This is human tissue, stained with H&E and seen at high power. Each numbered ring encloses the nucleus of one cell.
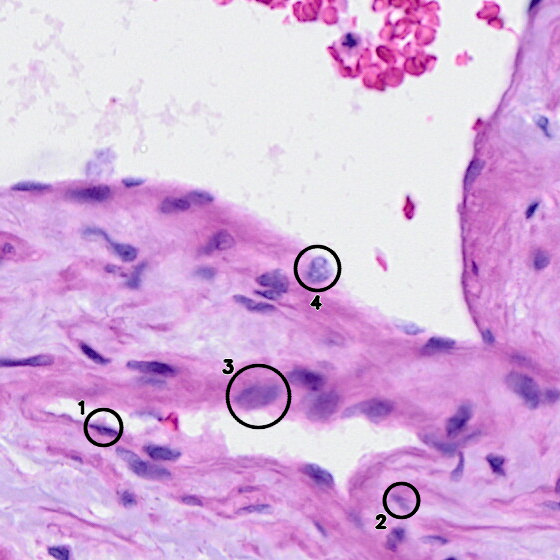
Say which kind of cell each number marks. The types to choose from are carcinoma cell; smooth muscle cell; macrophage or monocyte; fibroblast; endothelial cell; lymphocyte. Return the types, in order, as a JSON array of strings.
["endothelial cell", "smooth muscle cell", "endothelial cell", "endothelial cell"]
